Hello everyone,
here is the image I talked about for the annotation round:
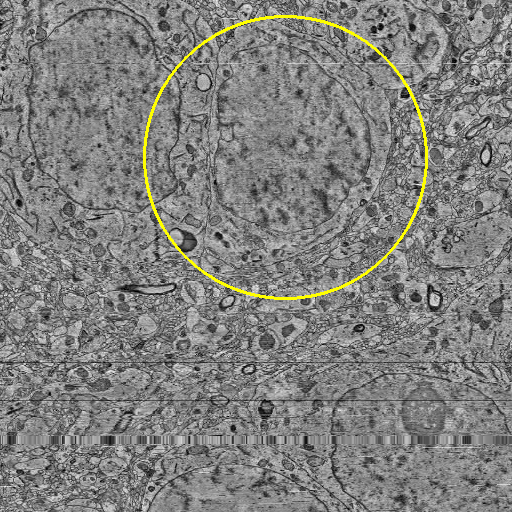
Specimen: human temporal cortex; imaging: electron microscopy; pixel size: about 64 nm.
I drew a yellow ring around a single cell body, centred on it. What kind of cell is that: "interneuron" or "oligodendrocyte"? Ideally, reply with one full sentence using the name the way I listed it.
The cell your yellow ring is centred on is an interneuron, going by your list.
